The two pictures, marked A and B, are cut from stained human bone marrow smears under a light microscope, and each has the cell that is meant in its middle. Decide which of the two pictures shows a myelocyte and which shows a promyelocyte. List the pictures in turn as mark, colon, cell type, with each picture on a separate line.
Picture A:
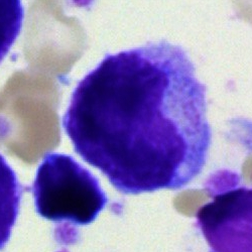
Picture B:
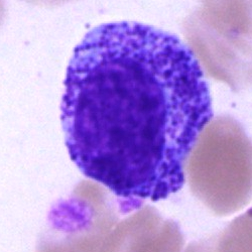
A: myelocyte
B: promyelocyte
